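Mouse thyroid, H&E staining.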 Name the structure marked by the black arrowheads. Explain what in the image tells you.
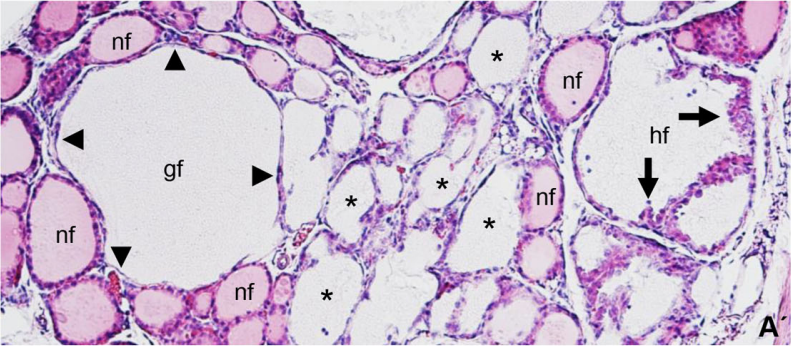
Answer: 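Flat epithelium. The arrowheads point to the wall of a very large follicle. The lining there is a thin, attenuated cell layer with flattened nuclei.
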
